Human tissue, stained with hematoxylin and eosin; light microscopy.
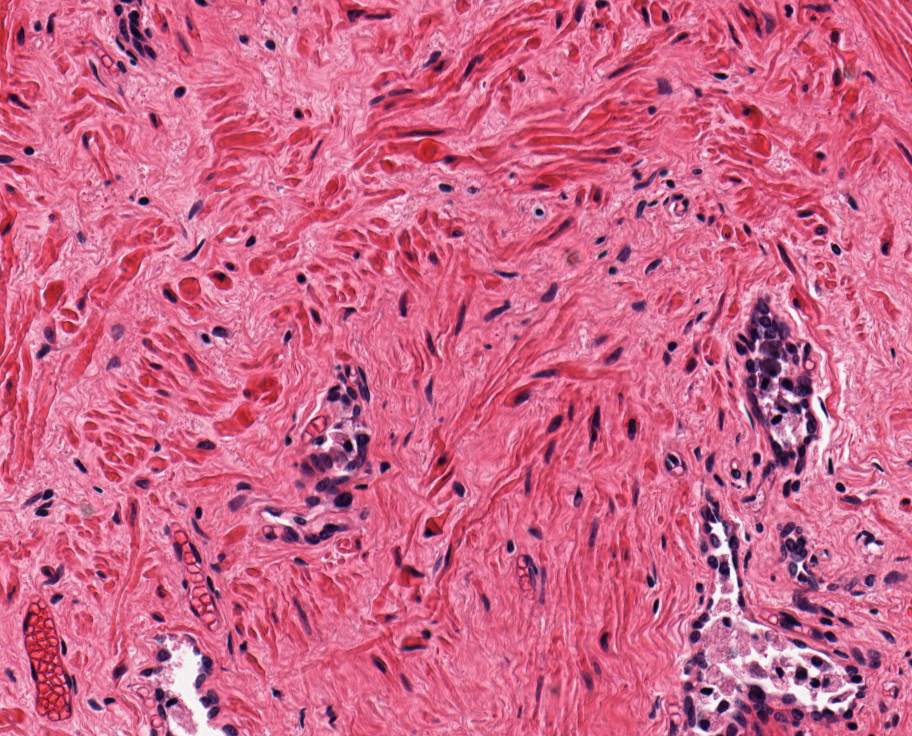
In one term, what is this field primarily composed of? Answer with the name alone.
fibromuscular stroma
